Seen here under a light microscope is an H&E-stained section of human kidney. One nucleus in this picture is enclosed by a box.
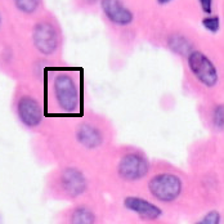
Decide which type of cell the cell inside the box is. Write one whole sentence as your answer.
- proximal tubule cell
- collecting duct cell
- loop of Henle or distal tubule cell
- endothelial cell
It is a loop of Henle or distal tubule cell that the cell inside the box represents.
